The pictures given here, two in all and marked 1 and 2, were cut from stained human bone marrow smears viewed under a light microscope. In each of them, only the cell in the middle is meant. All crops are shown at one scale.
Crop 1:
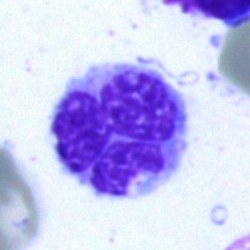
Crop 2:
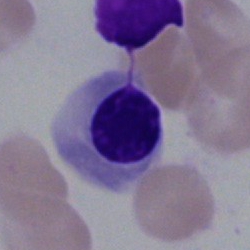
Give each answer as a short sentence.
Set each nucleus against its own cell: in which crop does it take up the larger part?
The nucleus fills more of the cell in crop 1 than in crop 2.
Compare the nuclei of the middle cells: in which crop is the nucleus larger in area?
Crop 1 shows the larger nucleus; it covers about 2.5 times the area of the nucleus in crop 2.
